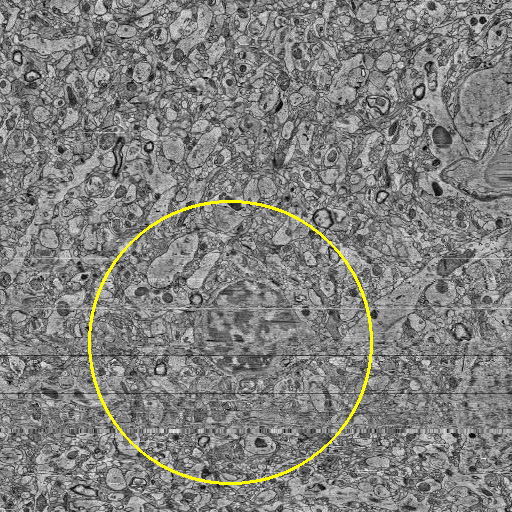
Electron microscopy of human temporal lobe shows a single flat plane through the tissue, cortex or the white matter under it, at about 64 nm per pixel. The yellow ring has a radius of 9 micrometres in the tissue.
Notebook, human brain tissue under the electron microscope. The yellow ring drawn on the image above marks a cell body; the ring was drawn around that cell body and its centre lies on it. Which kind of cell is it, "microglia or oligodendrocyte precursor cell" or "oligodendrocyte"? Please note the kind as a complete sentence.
The marked cell body is that of an oligodendrocyte.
